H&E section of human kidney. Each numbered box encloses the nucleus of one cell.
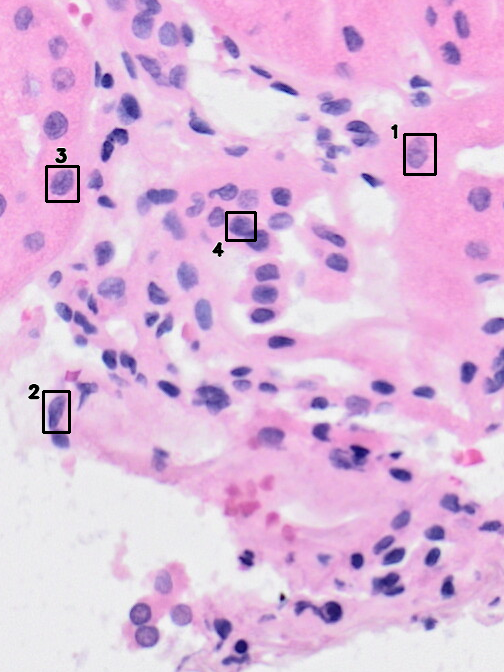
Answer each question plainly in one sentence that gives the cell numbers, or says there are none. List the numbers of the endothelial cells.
None but cell 2 among the numbered cells is an endothelial cell.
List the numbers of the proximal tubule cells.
Cells 1 and 3 in the section are typed as proximal tubule cells.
